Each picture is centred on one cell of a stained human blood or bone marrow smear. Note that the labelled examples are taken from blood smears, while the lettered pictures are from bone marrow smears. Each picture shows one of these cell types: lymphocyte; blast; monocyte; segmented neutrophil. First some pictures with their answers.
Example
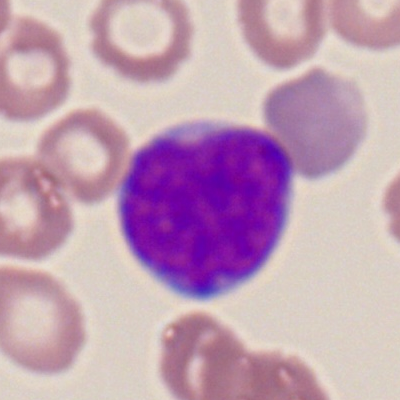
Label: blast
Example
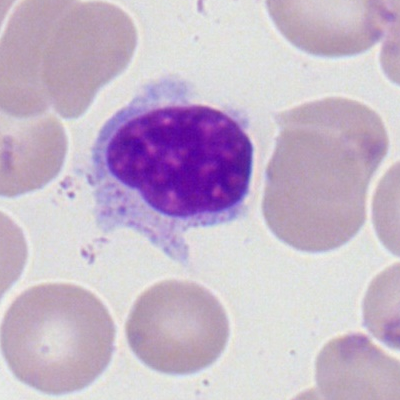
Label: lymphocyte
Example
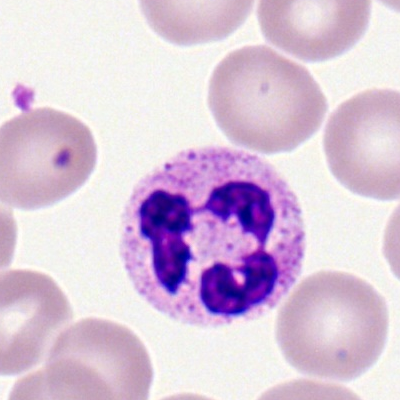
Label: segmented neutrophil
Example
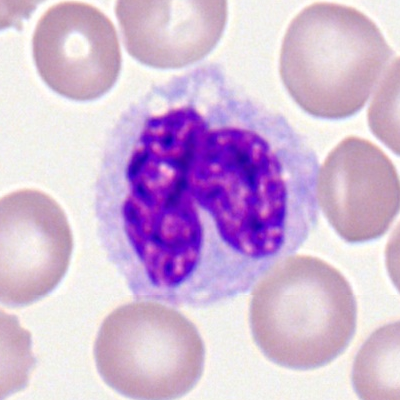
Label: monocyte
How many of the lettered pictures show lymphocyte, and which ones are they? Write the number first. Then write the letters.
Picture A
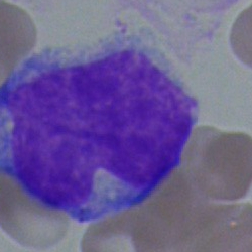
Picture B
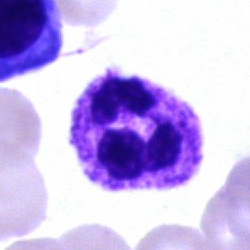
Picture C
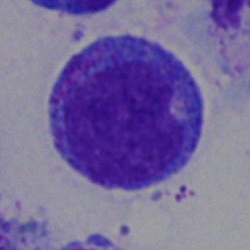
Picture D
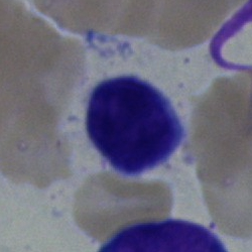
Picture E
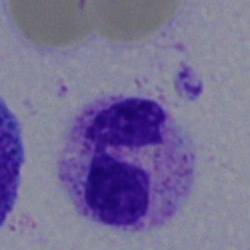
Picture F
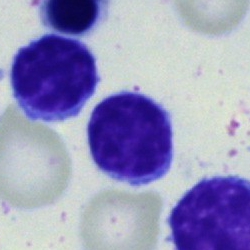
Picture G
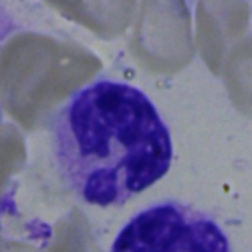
Count: 2 (D, F)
